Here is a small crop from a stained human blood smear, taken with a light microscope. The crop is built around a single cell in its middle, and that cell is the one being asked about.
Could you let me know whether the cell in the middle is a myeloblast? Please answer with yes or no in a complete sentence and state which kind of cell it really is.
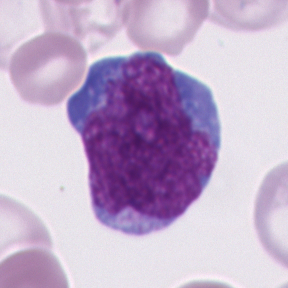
Yes, the cell in the middle is rightly called a myeloblast.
